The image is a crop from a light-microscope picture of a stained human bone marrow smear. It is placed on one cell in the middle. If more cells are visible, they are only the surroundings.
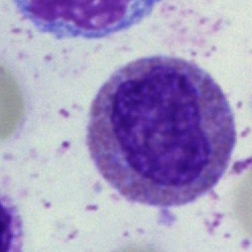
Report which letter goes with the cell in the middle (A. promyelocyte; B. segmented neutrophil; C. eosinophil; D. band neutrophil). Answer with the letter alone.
C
